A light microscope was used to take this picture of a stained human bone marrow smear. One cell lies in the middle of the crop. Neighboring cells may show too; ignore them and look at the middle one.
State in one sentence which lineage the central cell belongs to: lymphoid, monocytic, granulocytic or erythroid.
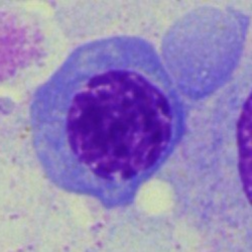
The central cell of this crop is a member of the erythroid line of development.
